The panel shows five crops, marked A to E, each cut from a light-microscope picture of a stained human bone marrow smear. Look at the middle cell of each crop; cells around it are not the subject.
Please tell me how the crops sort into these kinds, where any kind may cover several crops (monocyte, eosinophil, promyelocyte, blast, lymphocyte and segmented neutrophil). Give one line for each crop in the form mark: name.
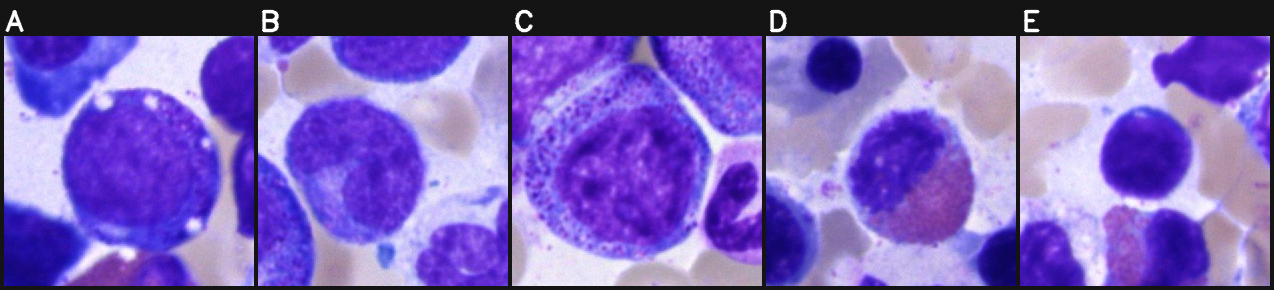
A: promyelocyte
B: monocyte
C: promyelocyte
D: eosinophil
E: lymphocyte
